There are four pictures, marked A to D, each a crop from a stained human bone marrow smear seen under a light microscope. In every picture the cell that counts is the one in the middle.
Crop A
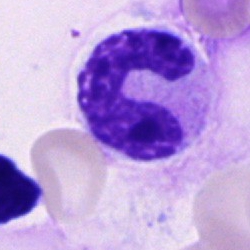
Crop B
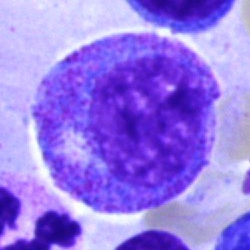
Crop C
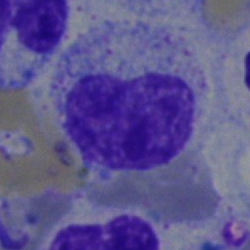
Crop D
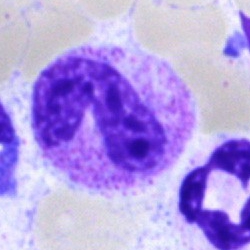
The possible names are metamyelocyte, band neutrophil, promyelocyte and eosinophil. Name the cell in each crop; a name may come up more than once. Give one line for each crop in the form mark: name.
A: band neutrophil
B: promyelocyte
C: metamyelocyte
D: band neutrophil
